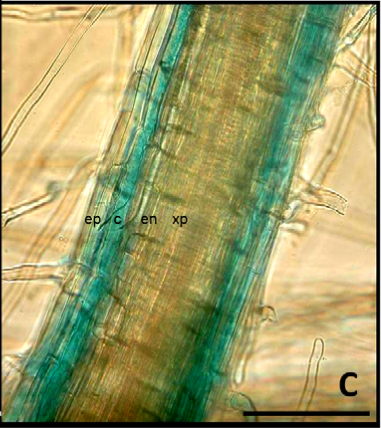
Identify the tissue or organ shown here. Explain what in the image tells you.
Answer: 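Root. Long tubular hairs project outward from the surface cells. A cylindrical organ made of longitudinal files of elongated cells.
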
